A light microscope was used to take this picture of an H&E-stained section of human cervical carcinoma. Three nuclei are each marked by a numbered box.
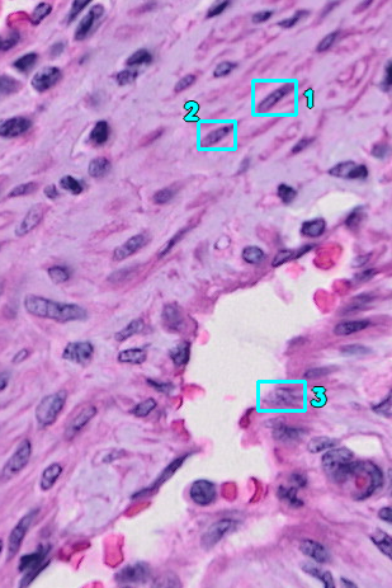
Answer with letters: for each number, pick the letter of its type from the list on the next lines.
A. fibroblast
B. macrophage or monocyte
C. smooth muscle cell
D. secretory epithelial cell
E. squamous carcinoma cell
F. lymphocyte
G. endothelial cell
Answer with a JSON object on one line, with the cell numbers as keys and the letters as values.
{"1": "C", "2": "C", "3": "G"}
